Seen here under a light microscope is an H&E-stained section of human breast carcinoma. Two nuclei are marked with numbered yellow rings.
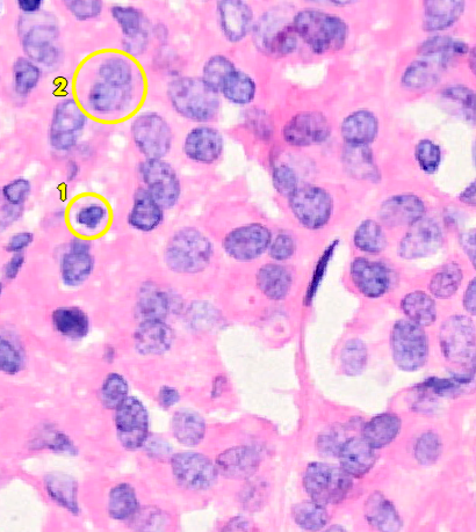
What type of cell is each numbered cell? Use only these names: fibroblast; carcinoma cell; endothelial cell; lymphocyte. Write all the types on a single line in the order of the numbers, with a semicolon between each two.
lymphocyte; carcinoma cell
